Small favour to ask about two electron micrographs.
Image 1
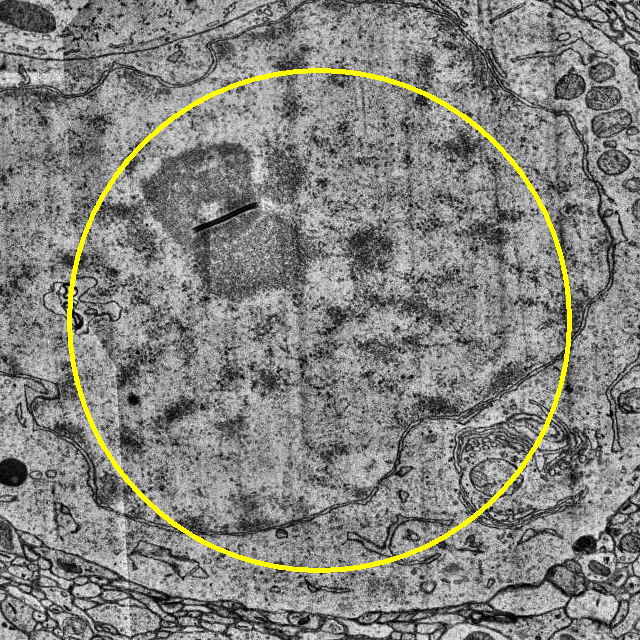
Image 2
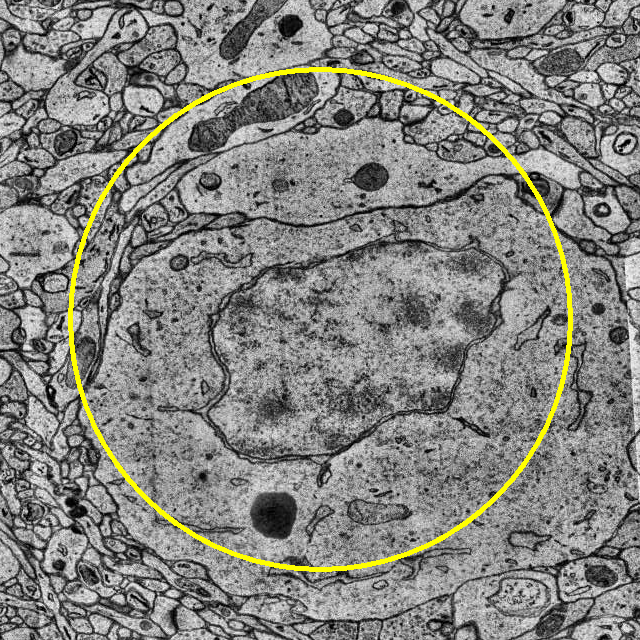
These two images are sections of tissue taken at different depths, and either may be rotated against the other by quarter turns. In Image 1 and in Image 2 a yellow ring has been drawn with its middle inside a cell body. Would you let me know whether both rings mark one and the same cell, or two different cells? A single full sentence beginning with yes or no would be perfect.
Yes, the two rings refer to one cell in the tissue.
